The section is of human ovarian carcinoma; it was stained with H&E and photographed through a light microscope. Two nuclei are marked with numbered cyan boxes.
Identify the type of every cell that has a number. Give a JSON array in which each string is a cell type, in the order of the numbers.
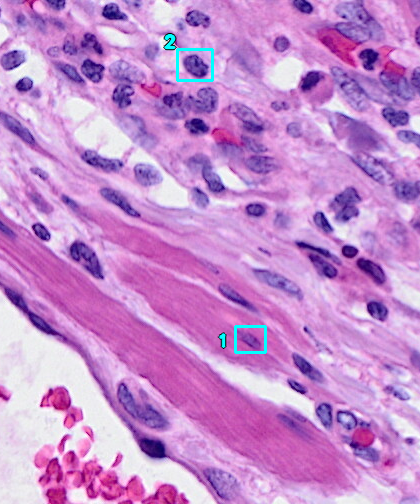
["smooth muscle cell", "lymphocyte"]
